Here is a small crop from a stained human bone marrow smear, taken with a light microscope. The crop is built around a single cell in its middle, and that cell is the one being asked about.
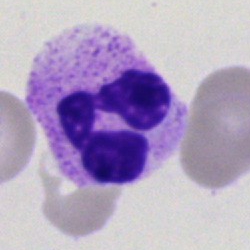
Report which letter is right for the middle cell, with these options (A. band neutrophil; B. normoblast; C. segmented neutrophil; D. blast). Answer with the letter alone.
C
